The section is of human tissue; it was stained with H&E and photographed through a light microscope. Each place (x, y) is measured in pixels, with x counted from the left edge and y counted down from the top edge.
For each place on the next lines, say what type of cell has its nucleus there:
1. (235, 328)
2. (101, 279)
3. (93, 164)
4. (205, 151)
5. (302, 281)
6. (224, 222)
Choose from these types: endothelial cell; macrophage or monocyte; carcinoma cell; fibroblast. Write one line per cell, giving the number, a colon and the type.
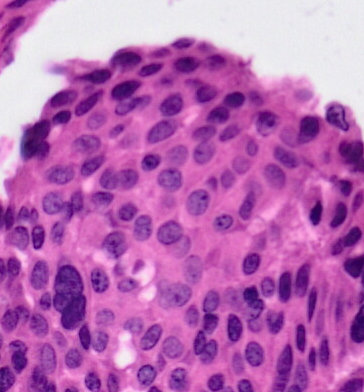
1: carcinoma cell
2: macrophage or monocyte
3: carcinoma cell
4: carcinoma cell
5: carcinoma cell
6: macrophage or monocyte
